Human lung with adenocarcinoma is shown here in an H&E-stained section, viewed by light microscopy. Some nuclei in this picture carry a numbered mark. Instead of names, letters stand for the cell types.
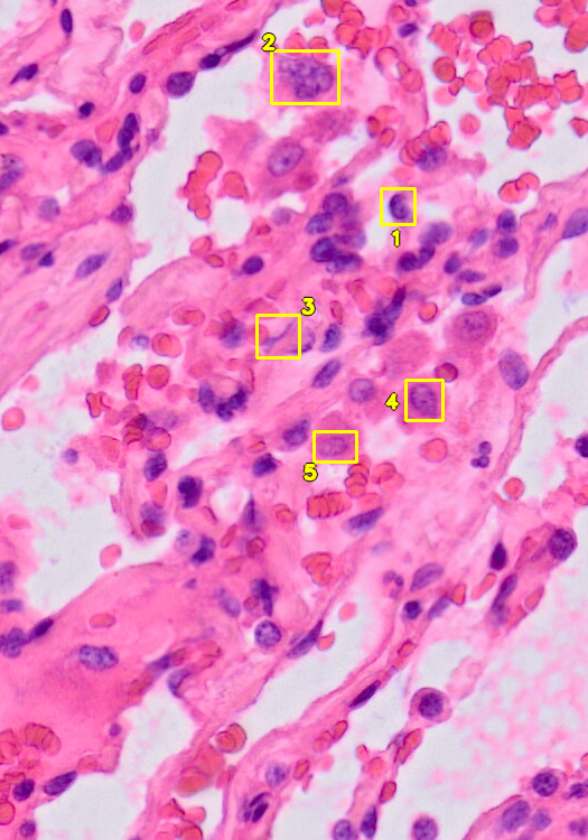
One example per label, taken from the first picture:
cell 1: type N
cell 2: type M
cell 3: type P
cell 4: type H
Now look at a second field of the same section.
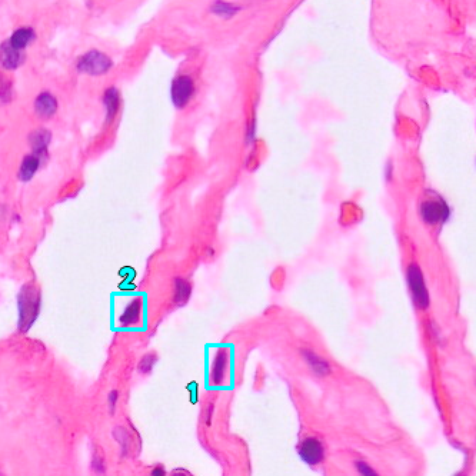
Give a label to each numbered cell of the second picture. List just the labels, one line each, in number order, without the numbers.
type P
type N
